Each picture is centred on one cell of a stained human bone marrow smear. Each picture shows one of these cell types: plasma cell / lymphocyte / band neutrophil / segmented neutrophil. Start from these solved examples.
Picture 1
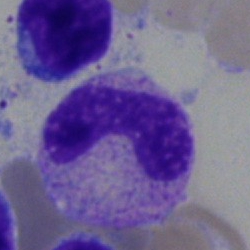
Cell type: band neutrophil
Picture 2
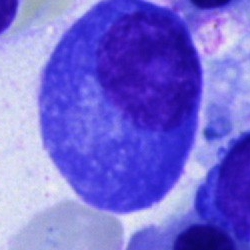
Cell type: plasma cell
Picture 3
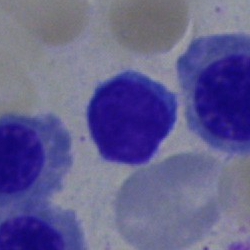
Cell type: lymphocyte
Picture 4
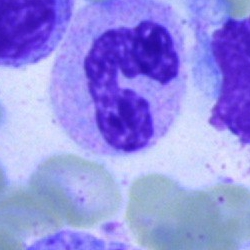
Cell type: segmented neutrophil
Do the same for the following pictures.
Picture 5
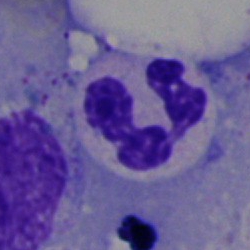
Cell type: segmented neutrophil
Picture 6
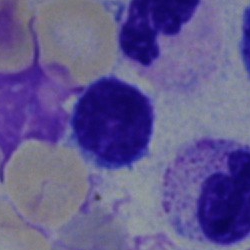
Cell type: lymphocyte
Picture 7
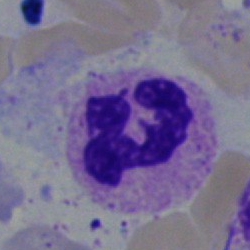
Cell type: segmented neutrophil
